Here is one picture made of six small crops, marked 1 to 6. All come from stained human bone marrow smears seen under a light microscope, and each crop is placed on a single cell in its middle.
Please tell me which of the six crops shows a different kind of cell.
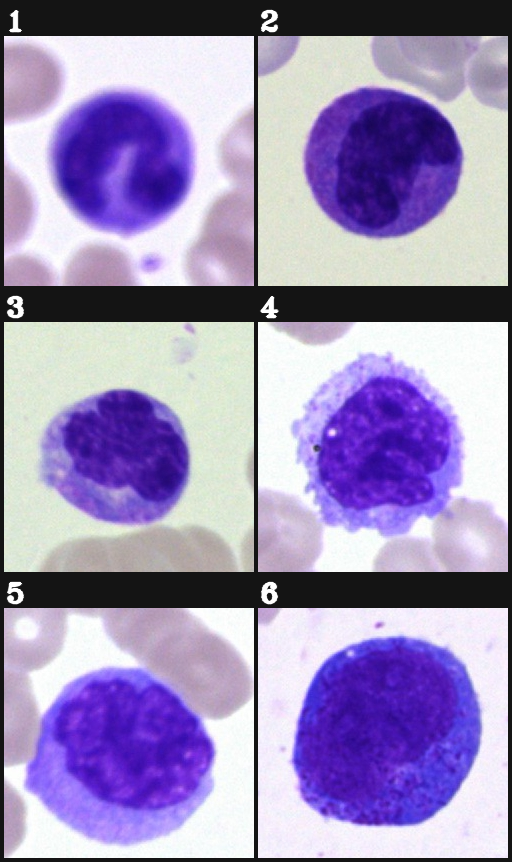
6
